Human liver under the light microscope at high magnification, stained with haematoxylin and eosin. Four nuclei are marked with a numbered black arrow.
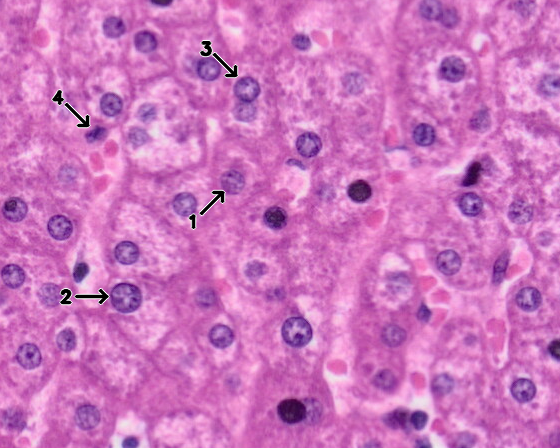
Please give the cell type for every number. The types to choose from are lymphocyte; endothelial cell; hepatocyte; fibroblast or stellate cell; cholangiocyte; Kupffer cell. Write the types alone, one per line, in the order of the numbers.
hepatocyte
hepatocyte
hepatocyte
fibroblast or stellate cell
